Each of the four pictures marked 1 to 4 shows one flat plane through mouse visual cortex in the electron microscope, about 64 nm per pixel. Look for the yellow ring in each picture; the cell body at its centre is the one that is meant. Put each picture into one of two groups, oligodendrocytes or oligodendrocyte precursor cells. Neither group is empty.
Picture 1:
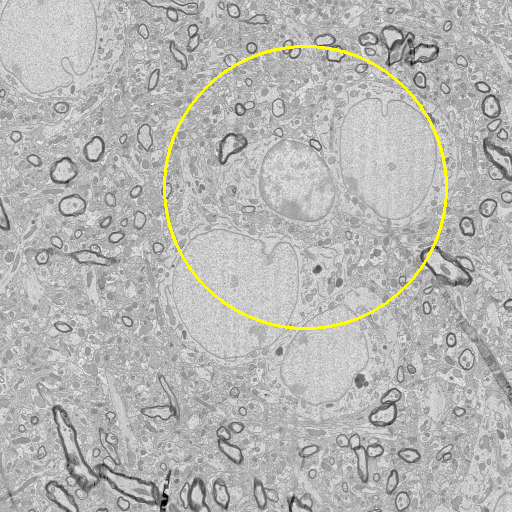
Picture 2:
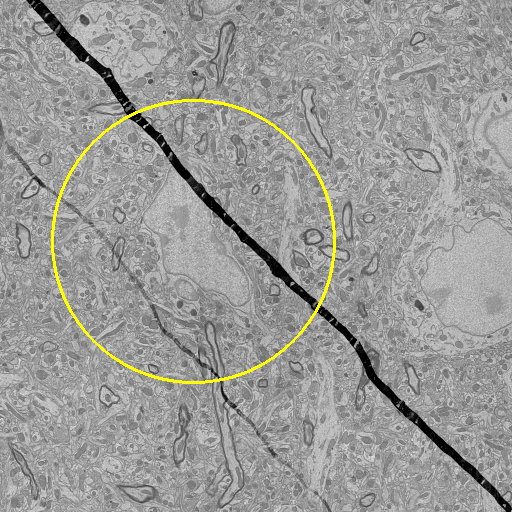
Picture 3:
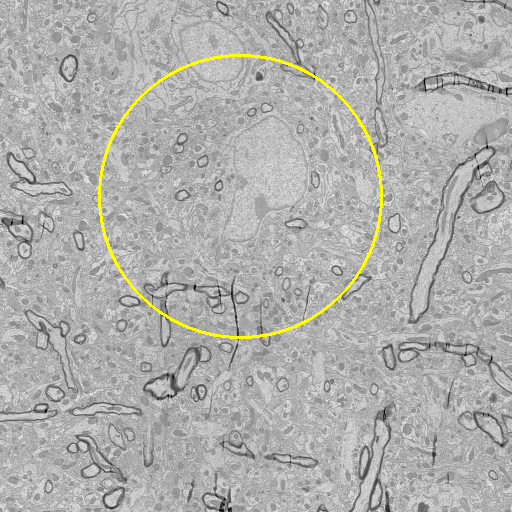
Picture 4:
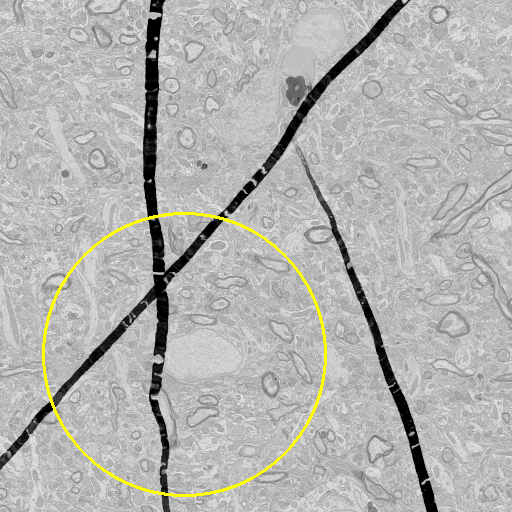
Picture 1 shows an oligodendrocyte; pictures 2, 3 and 4 show oligodendrocyte precursor cells.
